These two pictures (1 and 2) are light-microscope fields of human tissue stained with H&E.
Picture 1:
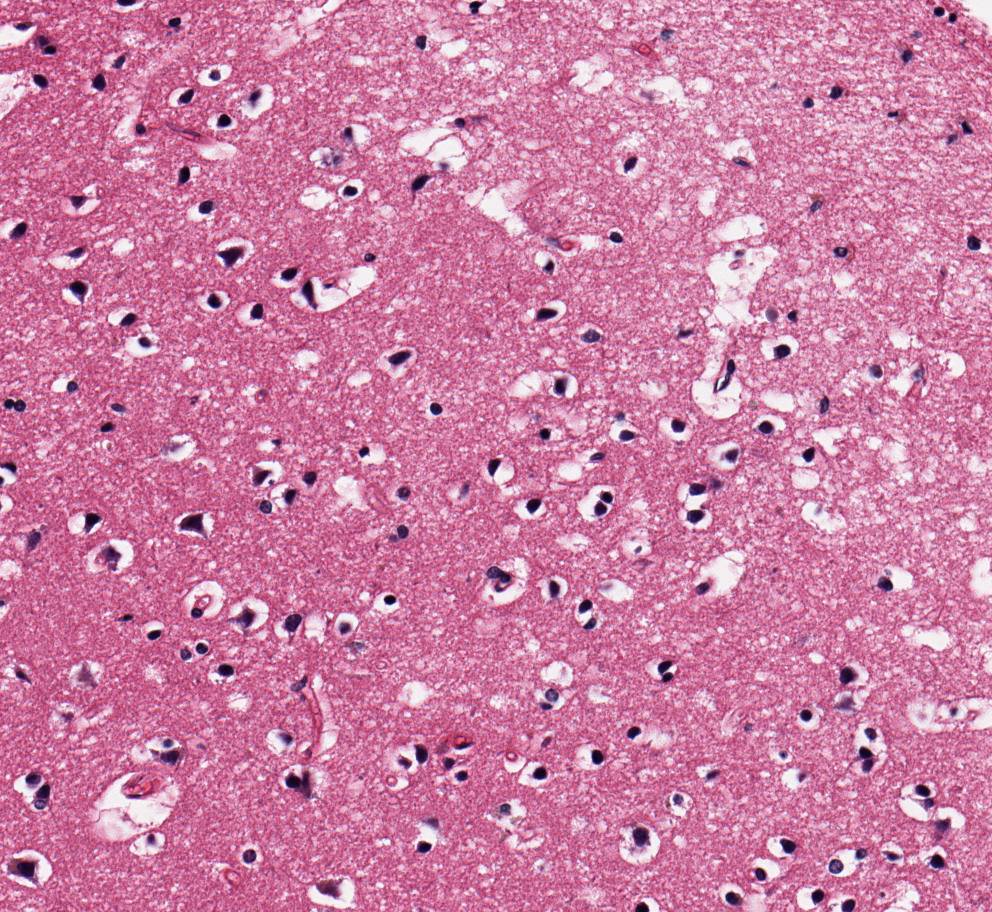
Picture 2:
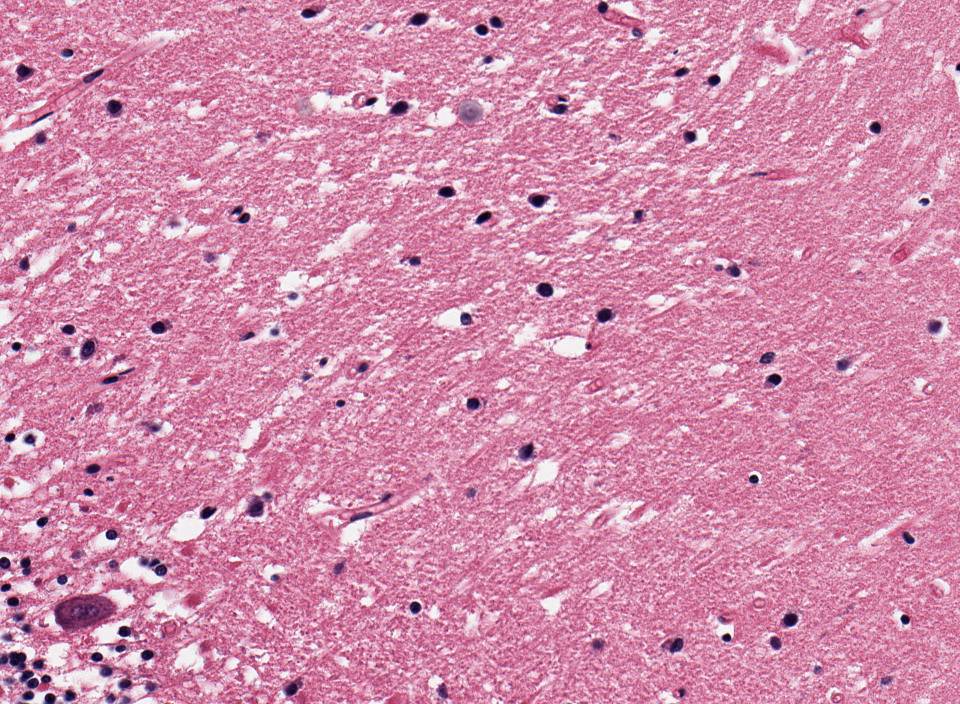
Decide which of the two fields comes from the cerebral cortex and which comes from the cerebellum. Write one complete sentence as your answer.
Picture 1 comes from the cerebral cortex; picture 2 comes from the cerebellum.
